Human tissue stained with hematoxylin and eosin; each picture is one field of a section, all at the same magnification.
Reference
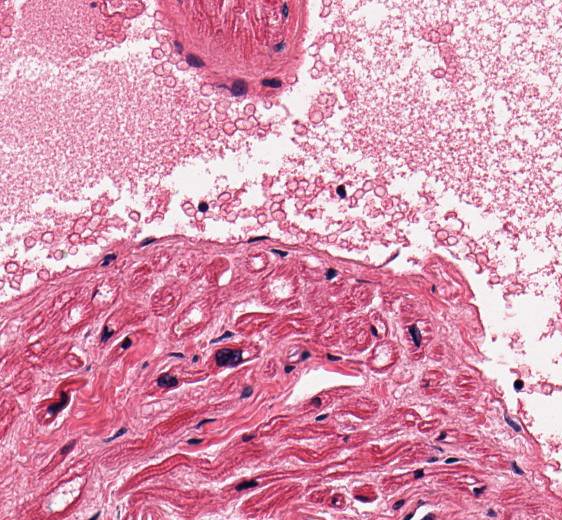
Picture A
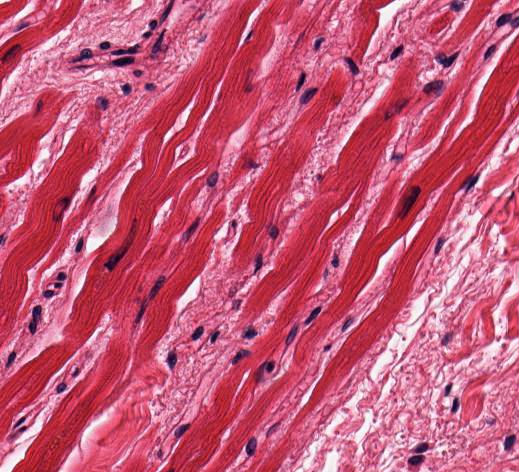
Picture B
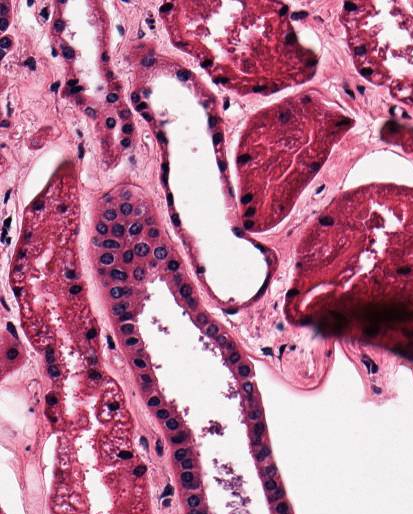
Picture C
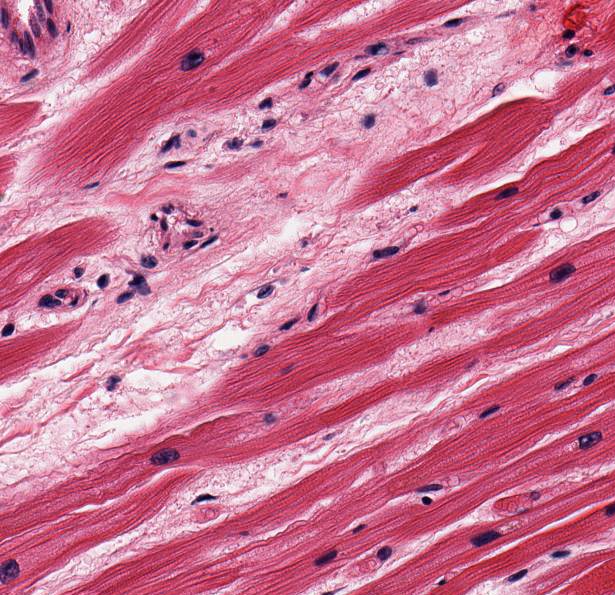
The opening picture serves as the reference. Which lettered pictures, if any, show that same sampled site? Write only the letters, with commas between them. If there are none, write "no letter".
A, C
